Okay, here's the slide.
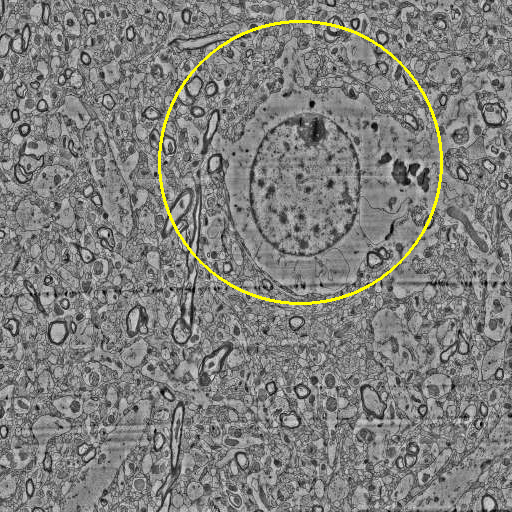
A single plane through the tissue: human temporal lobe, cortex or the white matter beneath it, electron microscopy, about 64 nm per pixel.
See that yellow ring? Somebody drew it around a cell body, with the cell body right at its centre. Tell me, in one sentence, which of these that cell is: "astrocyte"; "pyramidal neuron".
The cell in the middle of the ring is an astrocyte.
